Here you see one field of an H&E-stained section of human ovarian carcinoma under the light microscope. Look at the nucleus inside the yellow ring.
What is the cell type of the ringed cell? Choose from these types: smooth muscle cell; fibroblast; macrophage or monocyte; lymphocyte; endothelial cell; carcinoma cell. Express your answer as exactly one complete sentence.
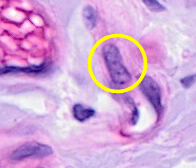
Students should answer that the ringed cell is an endothelial cell.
